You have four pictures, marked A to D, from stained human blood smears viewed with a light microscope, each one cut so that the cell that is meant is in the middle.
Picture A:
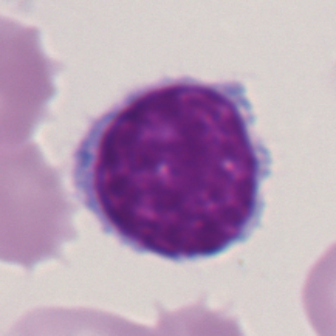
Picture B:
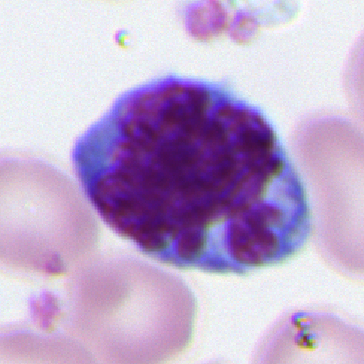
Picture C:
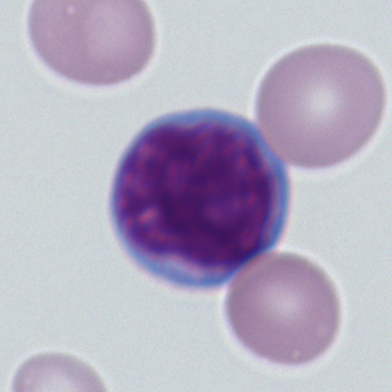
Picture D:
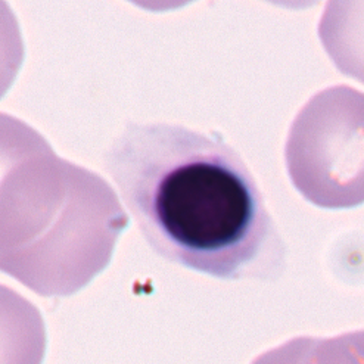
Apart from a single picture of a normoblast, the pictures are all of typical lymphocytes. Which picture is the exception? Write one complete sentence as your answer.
The picture with the normoblast is D.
